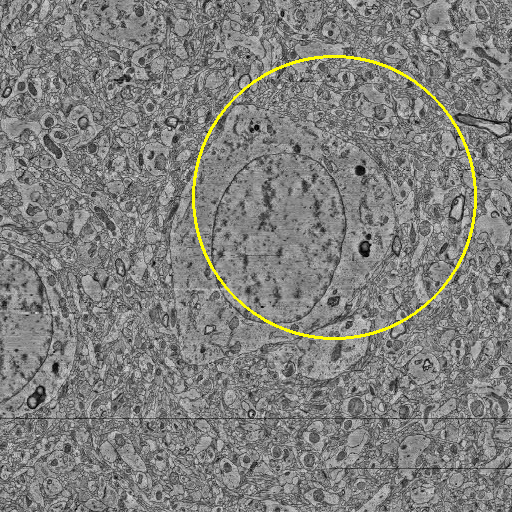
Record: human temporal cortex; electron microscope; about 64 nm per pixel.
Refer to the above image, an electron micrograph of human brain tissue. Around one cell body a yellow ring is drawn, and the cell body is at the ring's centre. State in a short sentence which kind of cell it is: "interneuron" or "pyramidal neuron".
The centre of the ring falls on a pyramidal neuron.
